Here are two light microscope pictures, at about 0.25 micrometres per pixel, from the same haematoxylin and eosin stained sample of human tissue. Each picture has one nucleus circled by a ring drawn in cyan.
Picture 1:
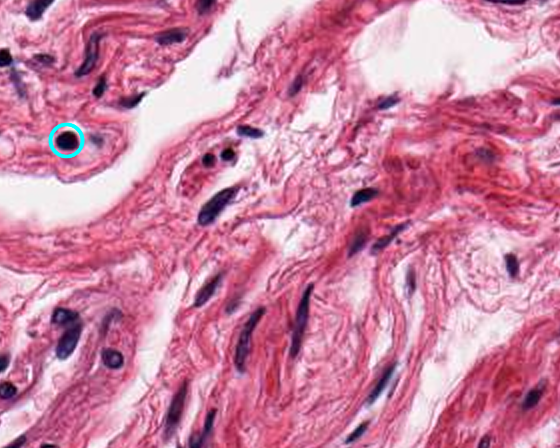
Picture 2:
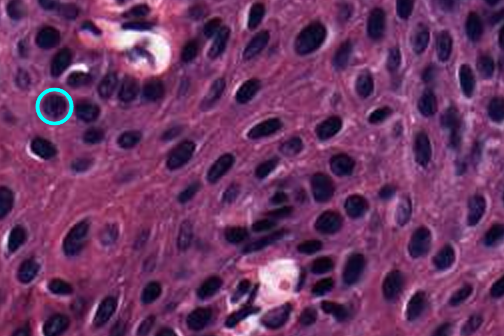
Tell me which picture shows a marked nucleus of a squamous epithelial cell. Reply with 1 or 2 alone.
2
